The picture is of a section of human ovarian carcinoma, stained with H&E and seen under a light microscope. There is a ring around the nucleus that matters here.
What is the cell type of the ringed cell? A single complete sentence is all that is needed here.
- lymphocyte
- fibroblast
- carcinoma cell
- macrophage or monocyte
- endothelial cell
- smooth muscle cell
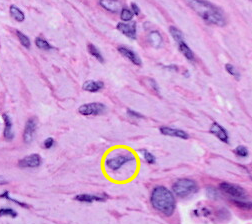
The cell type of the ringed cell is that of a fibroblast.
